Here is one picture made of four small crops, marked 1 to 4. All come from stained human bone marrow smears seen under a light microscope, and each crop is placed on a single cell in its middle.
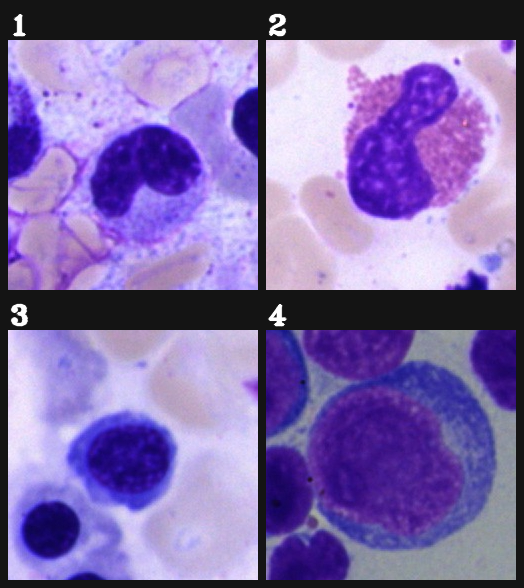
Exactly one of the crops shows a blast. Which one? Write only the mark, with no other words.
4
